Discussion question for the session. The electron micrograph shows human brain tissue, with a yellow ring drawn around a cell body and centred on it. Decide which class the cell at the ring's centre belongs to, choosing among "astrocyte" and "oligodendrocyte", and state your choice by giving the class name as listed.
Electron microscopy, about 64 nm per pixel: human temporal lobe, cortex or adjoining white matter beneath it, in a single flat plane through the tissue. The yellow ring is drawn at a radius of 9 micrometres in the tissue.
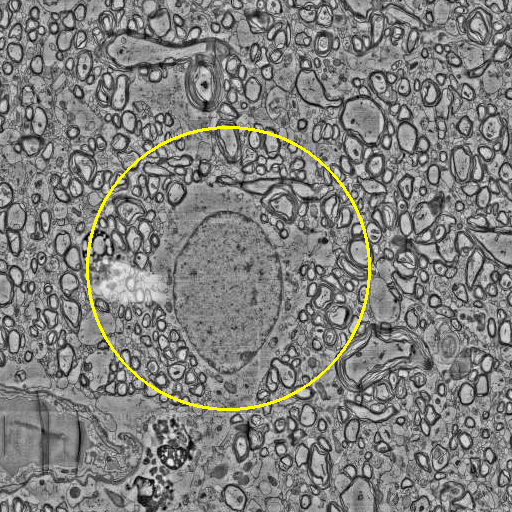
astrocyte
